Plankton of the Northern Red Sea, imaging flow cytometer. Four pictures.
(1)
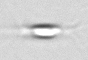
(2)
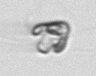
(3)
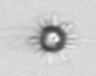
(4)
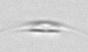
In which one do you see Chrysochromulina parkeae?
In picture 1.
